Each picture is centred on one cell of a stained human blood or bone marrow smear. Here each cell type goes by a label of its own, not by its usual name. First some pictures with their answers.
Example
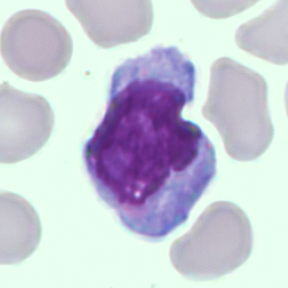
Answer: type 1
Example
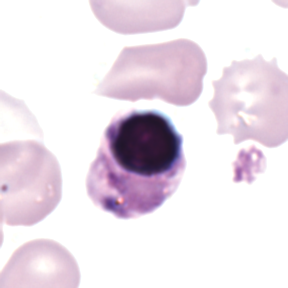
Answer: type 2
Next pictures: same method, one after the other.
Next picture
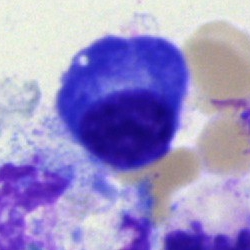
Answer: type 1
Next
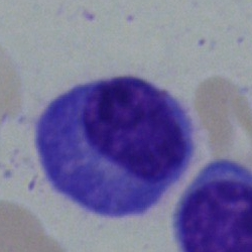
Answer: type 1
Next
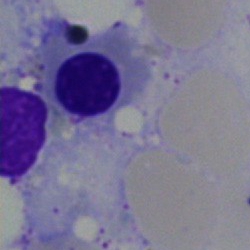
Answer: type 2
